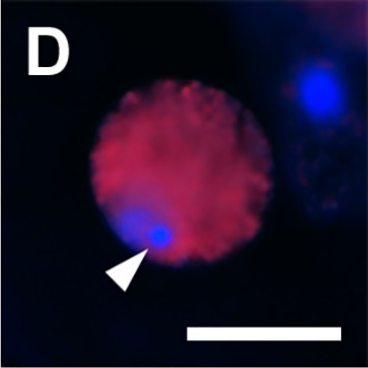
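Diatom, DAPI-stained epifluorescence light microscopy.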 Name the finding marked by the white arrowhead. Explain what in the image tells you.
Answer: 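The arrowhead points to a small, compact, bright blue spot near the lower left edge of the round cell. The spot is smaller and brighter than the diffuse blue area around it. So: nucleus pyknotizing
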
